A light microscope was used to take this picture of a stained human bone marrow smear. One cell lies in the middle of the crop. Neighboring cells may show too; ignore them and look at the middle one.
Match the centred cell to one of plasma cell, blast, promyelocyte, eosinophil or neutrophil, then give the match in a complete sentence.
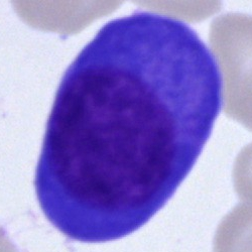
The central cell in this smear crop is a plasma cell.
